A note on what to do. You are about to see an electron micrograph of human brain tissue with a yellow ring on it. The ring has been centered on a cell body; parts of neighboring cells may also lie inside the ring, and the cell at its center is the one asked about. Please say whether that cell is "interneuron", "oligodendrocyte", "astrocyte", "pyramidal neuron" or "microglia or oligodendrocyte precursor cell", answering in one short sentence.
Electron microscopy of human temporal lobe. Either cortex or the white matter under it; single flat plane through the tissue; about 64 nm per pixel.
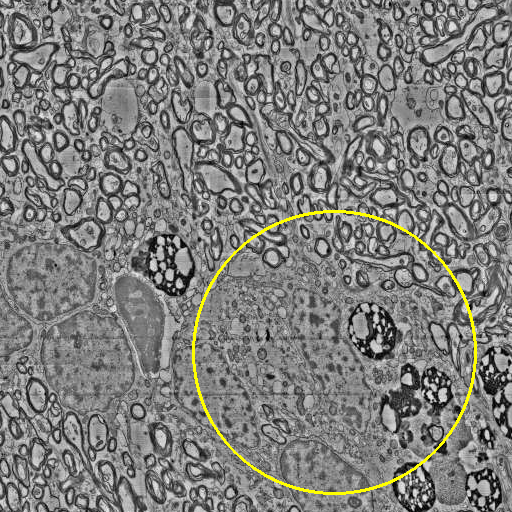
The yellow ring sits on an astrocyte.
